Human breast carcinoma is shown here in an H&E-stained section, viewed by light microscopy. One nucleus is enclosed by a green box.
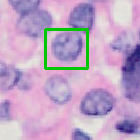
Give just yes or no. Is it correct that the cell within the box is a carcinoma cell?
yes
